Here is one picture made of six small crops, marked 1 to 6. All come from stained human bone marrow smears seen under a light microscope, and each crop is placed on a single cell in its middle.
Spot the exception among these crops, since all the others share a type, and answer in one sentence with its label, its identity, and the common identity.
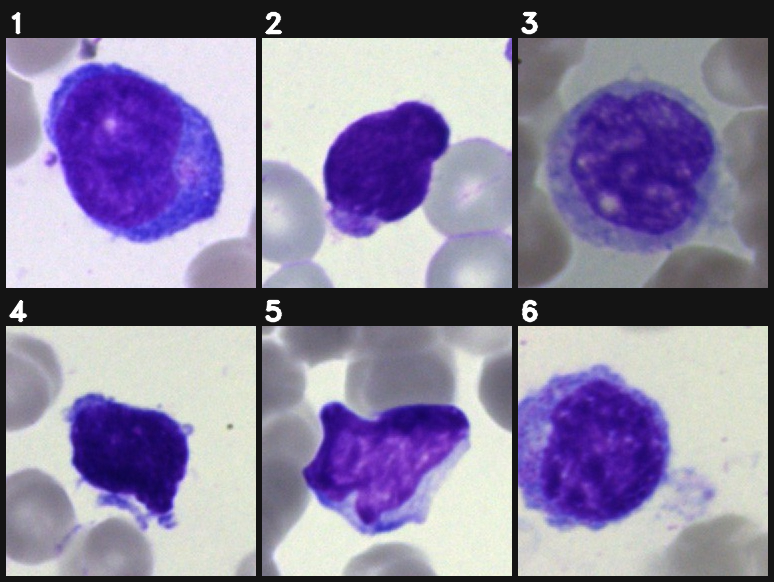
A different cell type, a monocyte, occupies crop 3; the other crops show blasts.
